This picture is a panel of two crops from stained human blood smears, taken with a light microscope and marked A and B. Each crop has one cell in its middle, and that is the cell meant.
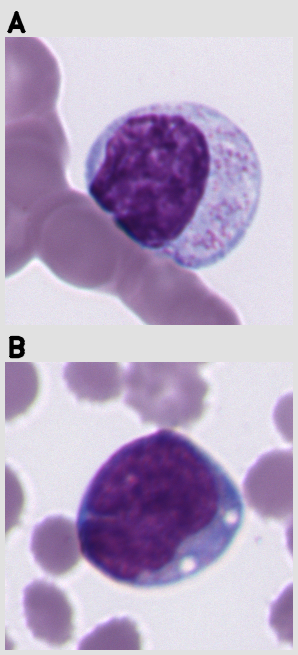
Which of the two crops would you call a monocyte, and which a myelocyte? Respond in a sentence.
Crop A is a myelocyte, and crop B is a monocyte.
